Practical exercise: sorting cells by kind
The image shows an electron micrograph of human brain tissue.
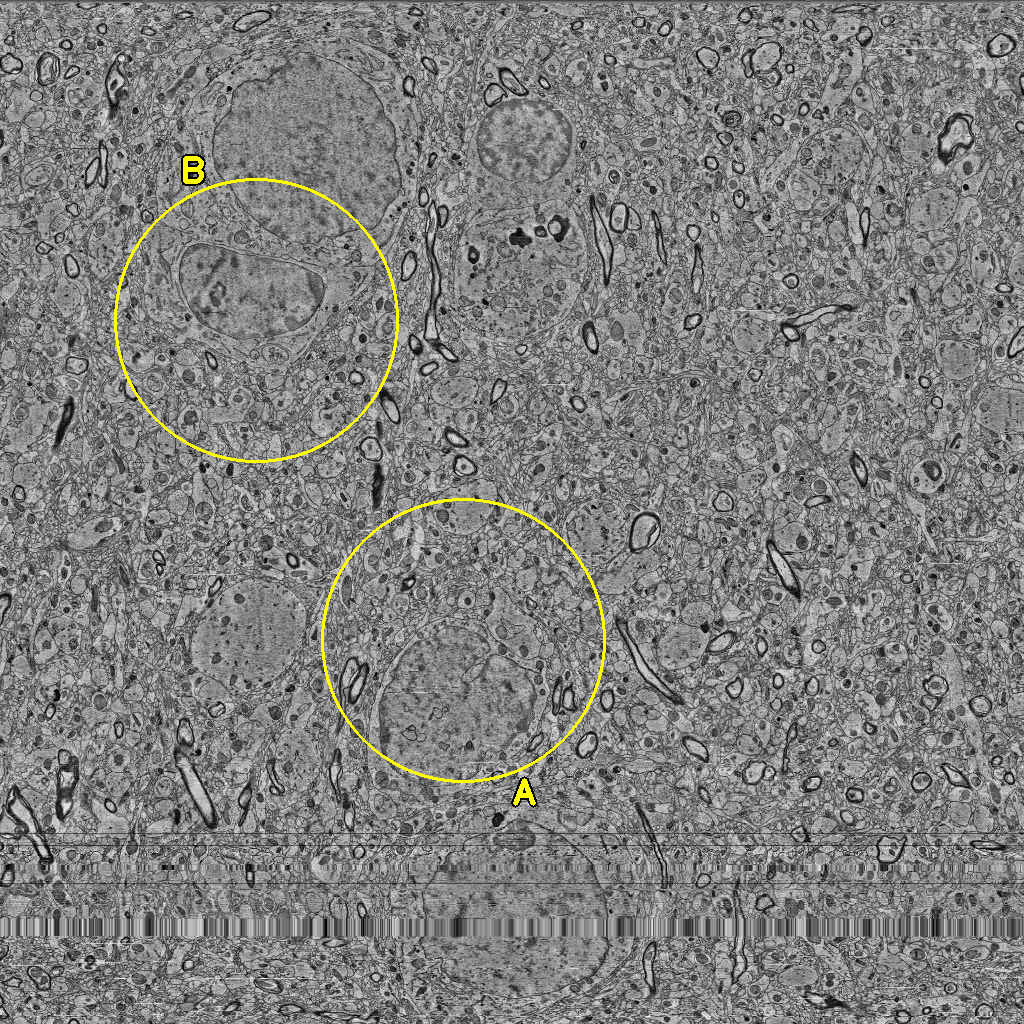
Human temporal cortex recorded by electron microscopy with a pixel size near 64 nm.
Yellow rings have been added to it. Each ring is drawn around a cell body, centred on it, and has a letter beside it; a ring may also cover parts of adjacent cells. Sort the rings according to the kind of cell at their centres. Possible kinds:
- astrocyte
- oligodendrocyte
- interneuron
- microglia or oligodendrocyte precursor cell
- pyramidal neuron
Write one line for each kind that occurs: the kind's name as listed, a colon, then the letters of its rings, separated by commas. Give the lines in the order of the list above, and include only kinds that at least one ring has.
interneuron: A
microglia or oligodendrocyte precursor cell: B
